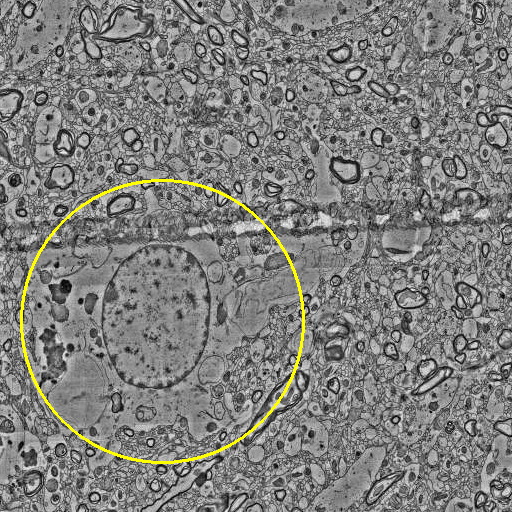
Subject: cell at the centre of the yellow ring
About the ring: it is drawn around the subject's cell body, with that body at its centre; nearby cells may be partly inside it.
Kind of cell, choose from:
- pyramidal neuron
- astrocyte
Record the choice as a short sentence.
The subject cell is an astrocyte.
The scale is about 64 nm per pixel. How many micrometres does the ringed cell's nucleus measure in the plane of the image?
In this plane, roughly 9 by 7 micrometres.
